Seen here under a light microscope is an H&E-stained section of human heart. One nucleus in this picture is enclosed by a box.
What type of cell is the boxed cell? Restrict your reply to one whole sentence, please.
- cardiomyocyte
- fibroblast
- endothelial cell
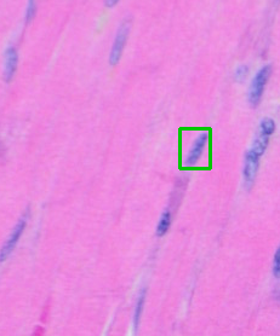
In this preparation, the boxed cell is a fibroblast.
